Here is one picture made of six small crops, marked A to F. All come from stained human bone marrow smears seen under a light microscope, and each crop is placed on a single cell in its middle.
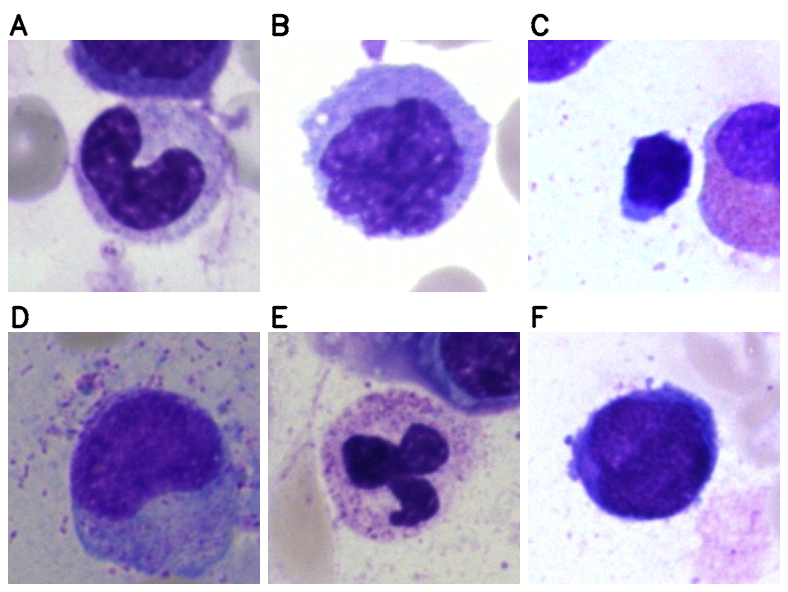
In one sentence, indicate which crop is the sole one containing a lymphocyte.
The crop showing a lymphocyte in this series is crop C.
